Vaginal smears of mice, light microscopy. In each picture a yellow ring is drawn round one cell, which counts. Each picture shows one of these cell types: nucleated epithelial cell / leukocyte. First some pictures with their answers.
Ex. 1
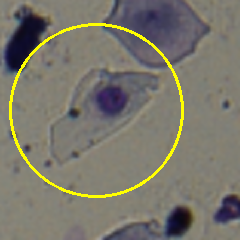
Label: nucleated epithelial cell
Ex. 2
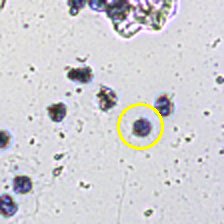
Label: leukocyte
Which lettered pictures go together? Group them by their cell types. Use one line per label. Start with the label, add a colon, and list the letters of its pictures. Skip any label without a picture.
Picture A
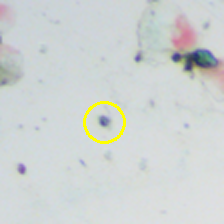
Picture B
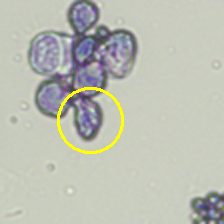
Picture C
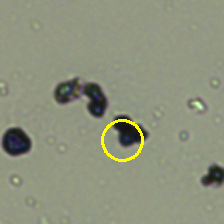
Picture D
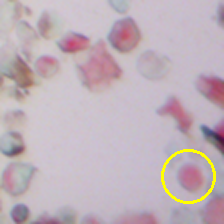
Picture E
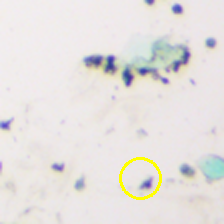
nucleated epithelial cell: B, D
leukocyte: A, C, E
